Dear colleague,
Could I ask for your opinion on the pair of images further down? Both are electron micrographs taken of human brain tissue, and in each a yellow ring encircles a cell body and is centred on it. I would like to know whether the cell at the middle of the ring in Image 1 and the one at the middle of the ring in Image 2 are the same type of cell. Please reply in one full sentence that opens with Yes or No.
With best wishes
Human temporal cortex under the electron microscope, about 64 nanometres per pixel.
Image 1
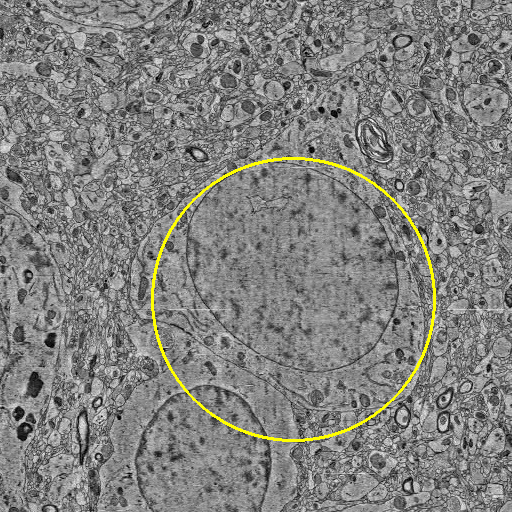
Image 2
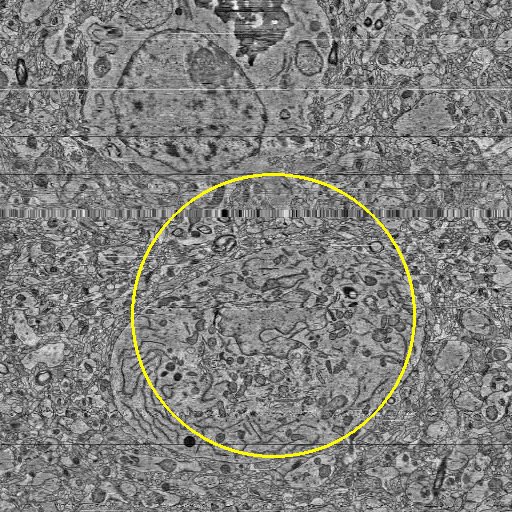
No, the cells at the ring centres in Image 1 and Image 2 are of two types.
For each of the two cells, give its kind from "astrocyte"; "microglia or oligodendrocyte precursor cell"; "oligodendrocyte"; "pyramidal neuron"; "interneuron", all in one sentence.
The first picture has a pyramidal neuron in its ring, the second has an interneuron.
